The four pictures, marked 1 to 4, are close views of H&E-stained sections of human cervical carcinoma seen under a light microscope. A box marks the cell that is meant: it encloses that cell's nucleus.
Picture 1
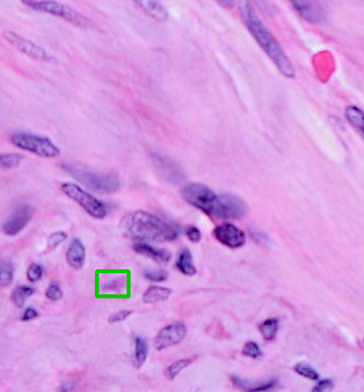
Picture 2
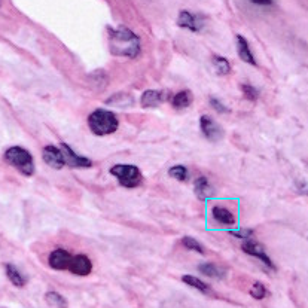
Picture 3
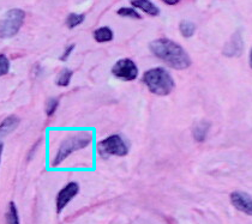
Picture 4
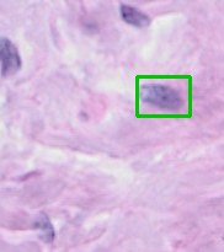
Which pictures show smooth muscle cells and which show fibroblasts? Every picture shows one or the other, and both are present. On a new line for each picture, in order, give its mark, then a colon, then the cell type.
1: smooth muscle cell
2: smooth muscle cell
3: fibroblast
4: fibroblast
